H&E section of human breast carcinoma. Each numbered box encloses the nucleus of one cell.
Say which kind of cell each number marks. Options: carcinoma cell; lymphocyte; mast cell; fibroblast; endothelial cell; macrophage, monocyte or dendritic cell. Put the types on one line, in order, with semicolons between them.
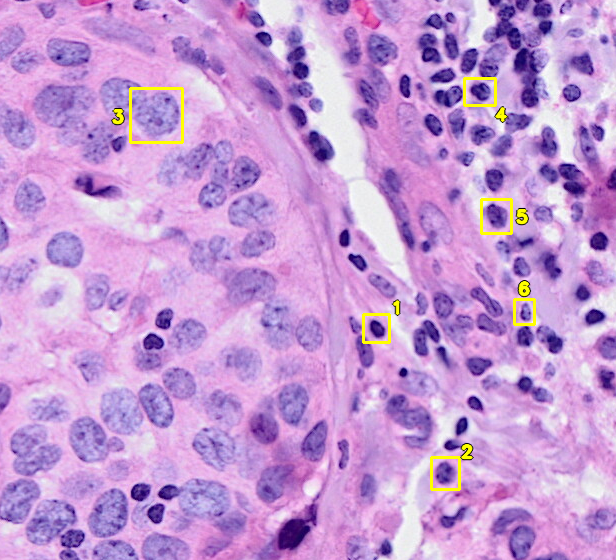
lymphocyte; mast cell; carcinoma cell; lymphocyte; lymphocyte; lymphocyte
